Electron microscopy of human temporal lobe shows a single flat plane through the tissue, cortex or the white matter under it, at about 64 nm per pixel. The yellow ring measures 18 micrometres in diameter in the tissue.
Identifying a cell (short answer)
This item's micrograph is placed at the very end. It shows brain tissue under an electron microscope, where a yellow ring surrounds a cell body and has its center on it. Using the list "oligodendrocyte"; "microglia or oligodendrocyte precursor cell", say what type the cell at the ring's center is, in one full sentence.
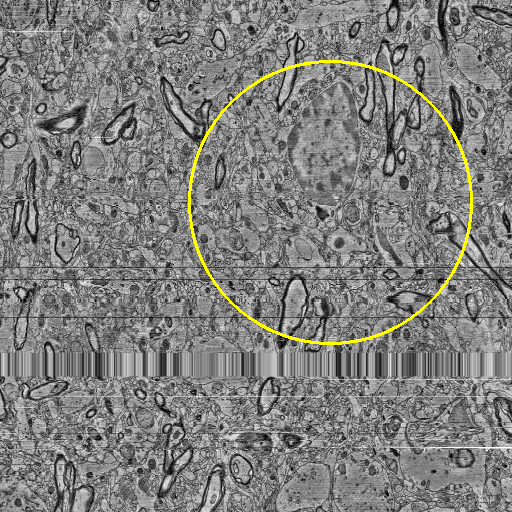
This picture shows a microglial cell or oligodendrocyte precursor cell at the center of the yellow ring drawn on it.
